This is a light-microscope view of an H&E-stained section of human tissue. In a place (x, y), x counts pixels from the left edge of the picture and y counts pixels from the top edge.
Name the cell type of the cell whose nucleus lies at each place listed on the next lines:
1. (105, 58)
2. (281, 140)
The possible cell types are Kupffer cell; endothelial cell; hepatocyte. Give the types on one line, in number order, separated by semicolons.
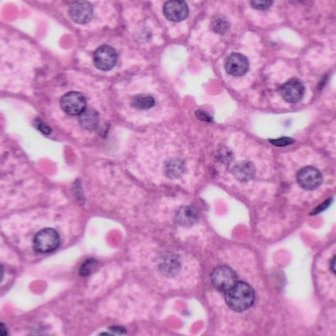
hepatocyte; endothelial cell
